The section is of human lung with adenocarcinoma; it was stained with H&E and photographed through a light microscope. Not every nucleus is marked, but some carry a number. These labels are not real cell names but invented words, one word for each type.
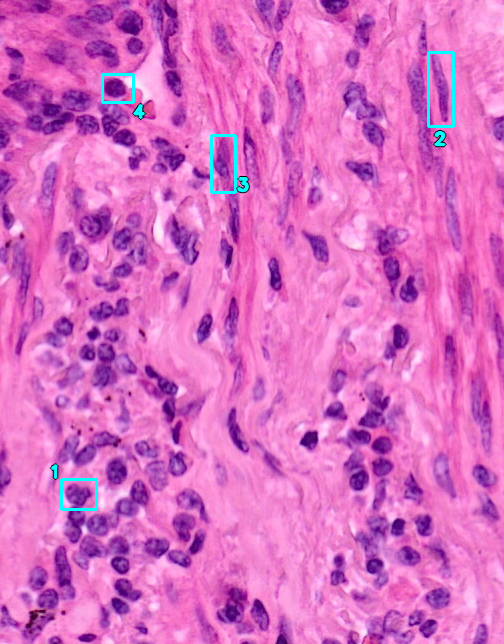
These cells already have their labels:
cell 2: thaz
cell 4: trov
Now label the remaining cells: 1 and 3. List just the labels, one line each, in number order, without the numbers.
trov
thaz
